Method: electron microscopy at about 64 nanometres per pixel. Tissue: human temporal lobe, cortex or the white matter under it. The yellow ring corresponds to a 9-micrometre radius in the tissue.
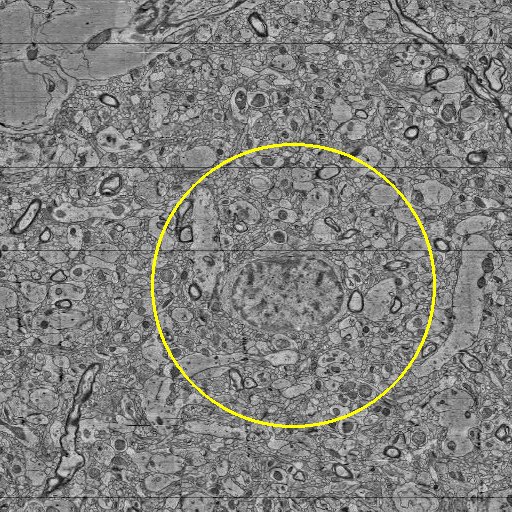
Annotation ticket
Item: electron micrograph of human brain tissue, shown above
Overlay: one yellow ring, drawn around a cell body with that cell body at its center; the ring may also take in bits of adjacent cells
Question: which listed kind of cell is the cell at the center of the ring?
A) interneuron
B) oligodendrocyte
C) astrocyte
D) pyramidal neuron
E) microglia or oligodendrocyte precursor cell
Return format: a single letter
B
